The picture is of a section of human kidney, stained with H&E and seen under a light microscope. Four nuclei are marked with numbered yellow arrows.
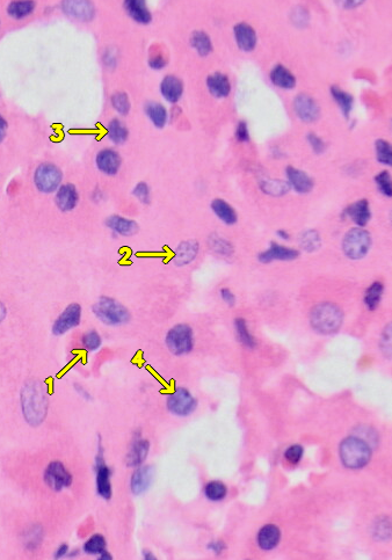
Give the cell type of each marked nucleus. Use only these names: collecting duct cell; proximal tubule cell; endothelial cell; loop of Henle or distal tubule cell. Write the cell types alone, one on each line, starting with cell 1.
endothelial cell
loop of Henle or distal tubule cell
loop of Henle or distal tubule cell
loop of Henle or distal tubule cell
